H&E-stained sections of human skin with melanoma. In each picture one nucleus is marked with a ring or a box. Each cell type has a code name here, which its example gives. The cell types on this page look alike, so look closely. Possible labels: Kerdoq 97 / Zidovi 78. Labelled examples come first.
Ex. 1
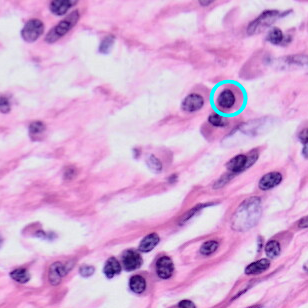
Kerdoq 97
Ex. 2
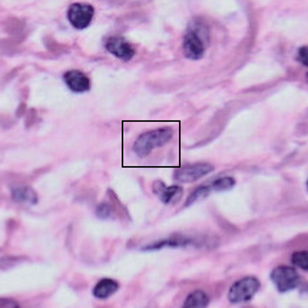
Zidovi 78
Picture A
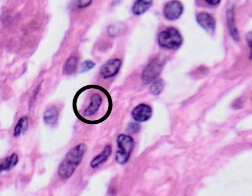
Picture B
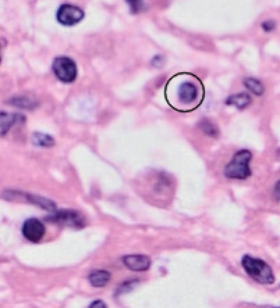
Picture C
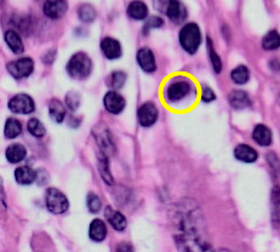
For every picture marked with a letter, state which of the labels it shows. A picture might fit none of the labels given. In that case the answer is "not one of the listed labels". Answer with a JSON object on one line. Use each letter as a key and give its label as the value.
{"A": "Zidovi 78", "B": "not one of the listed labels", "C": "Kerdoq 97"}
